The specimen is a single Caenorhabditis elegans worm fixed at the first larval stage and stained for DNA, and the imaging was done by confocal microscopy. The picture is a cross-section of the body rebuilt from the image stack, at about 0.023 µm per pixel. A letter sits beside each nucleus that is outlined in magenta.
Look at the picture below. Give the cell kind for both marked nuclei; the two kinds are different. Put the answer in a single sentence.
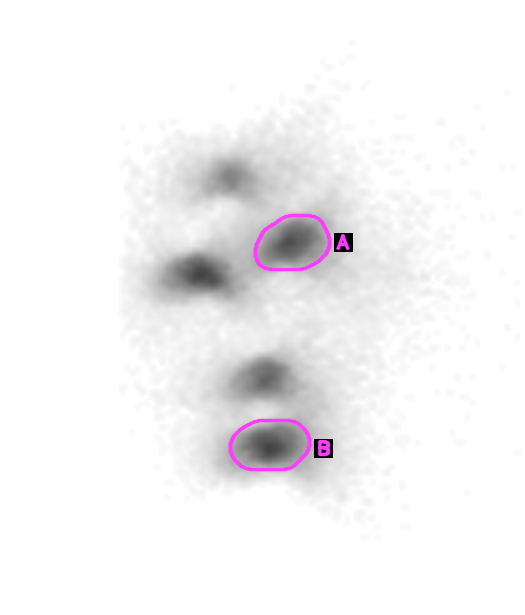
The nucleus A is that of a pharyngeal epithelial cell, while B is that of a hypodermal cell (hyp).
